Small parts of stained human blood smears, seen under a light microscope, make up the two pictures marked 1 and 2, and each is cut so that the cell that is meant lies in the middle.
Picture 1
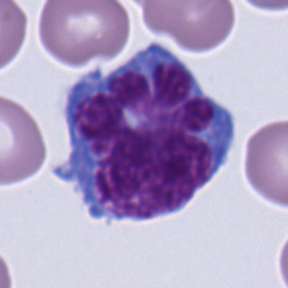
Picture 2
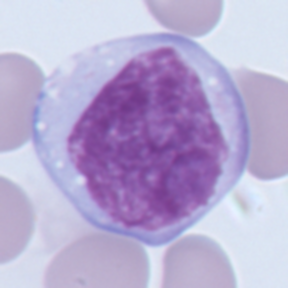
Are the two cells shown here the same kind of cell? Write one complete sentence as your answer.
Yes; the cells in both pictures are myeloblasts.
